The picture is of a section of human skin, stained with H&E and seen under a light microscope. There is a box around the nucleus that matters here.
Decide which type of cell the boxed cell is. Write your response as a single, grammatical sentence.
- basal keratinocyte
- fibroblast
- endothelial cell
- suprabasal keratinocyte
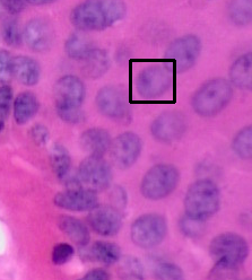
Assigned to a cell type, the boxed cell is a suprabasal keratinocyte.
